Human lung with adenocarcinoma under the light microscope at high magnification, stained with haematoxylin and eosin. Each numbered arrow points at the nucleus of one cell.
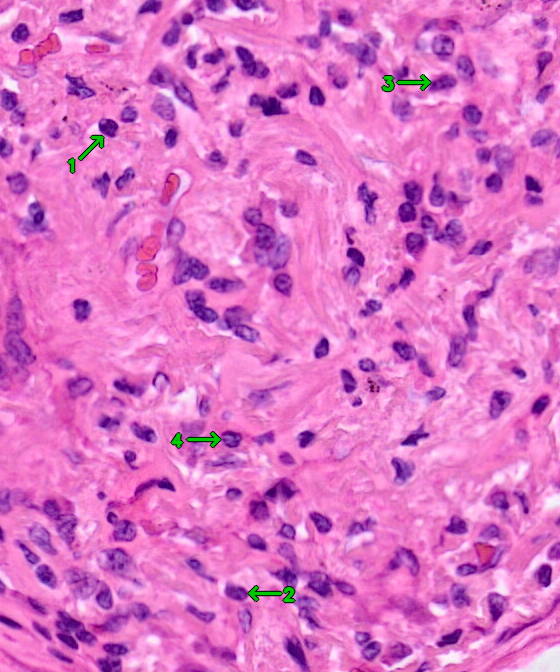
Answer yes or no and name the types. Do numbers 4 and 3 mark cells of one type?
No, the cell at number 4 is a mast cell, and the cell at number 3 is a plasma cell.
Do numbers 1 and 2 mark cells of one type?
Yes, the two cells, 1 and 2, are both lymphocytes.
